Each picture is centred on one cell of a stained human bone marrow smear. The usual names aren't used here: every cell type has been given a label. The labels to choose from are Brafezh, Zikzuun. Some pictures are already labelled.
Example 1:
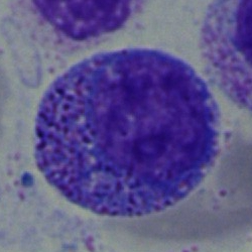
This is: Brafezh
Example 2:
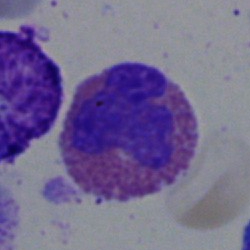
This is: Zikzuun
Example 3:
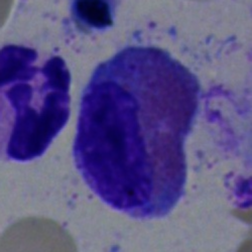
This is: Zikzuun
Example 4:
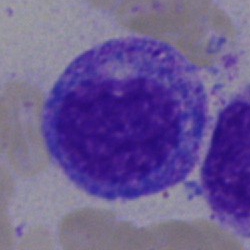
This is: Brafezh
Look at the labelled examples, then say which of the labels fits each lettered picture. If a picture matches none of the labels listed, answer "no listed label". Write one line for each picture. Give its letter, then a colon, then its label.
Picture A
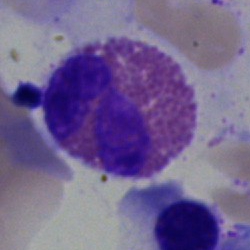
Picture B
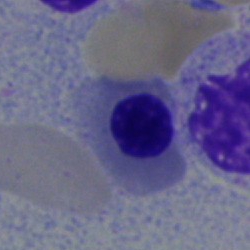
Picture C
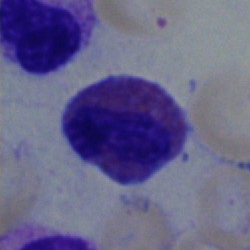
A: Zikzuun
B: no listed label
C: Zikzuun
